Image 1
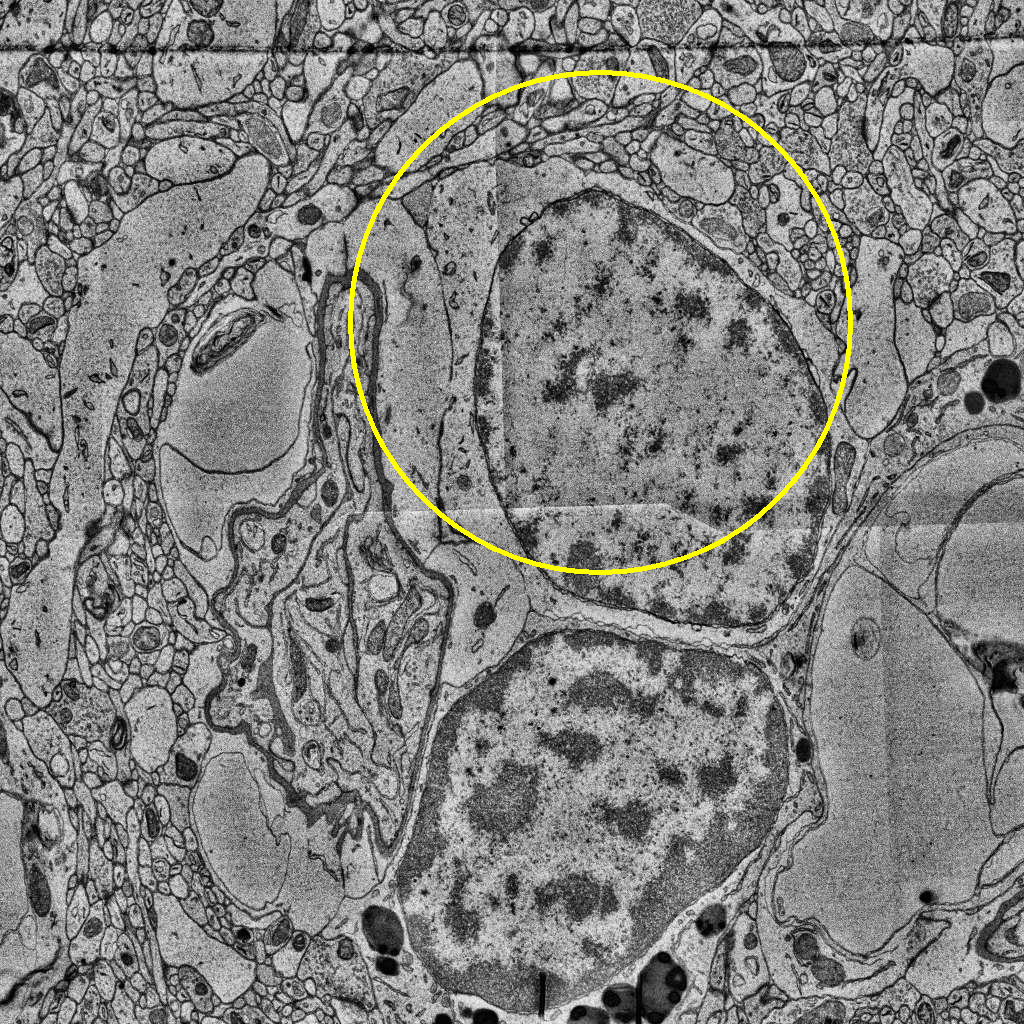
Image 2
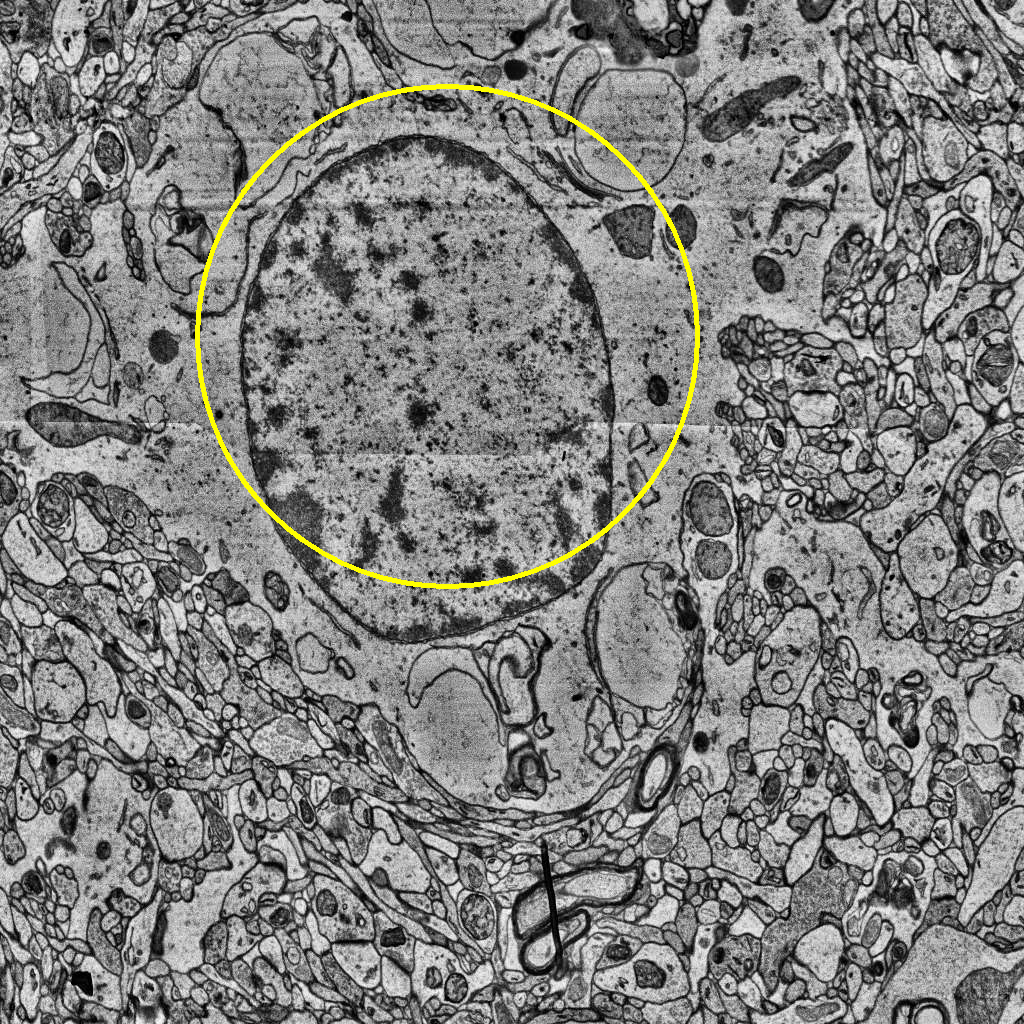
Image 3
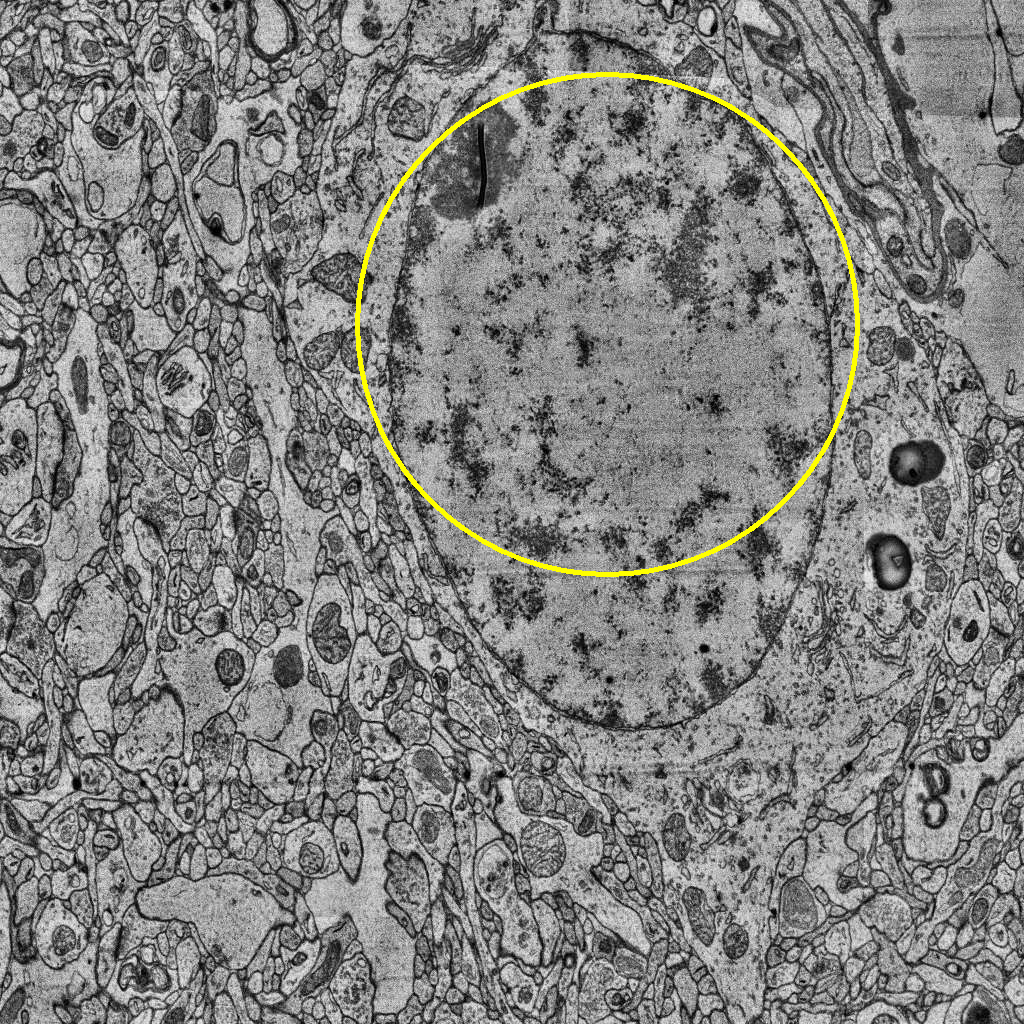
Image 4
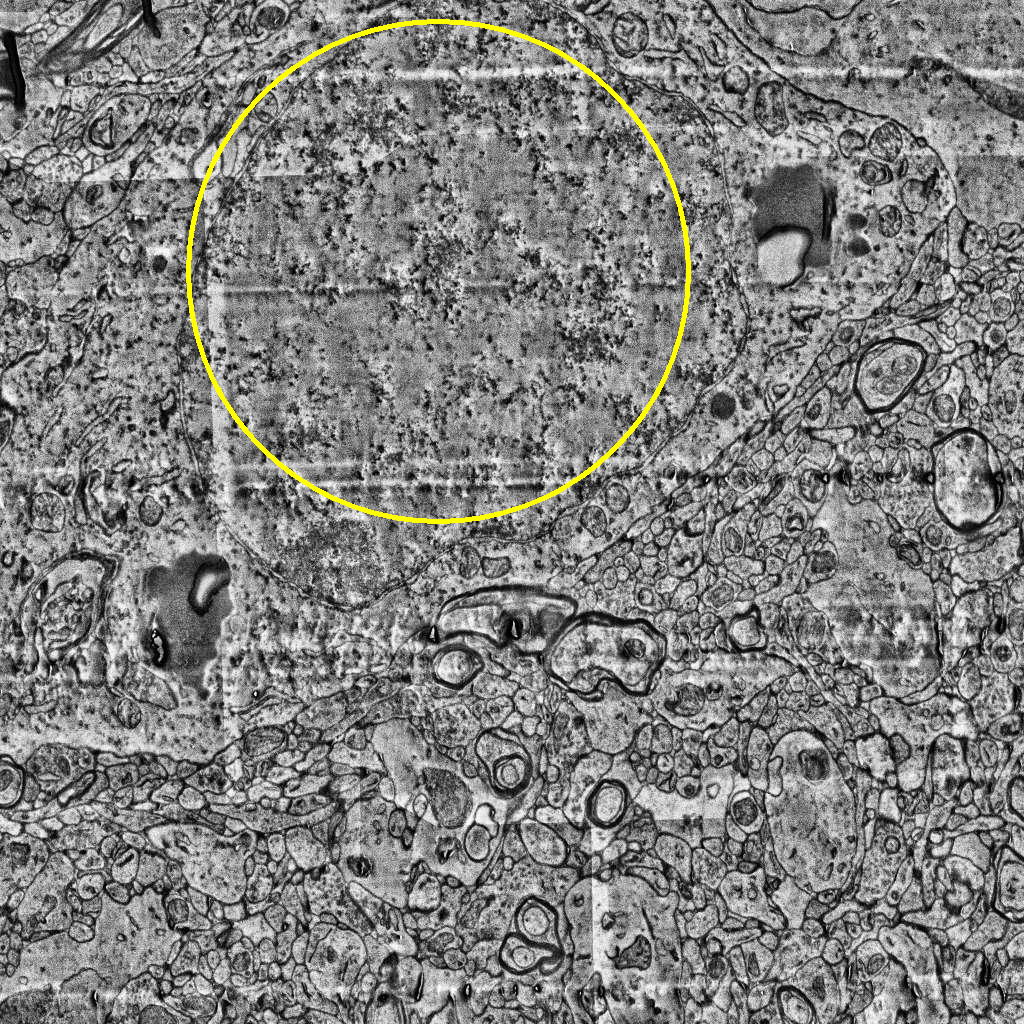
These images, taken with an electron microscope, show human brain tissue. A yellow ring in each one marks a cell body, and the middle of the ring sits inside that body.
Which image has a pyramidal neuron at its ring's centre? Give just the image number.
3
